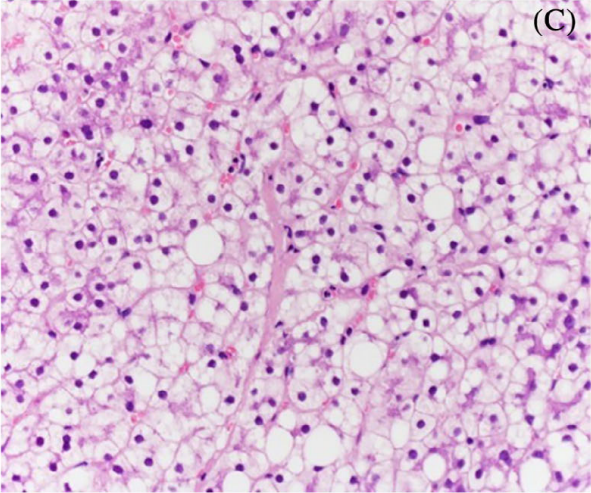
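This is liver parenchyma in which the hepatocytes show marked steatosis and cytoplasmic change. Scattered cells carry large round clear fat vacuoles. Most hepatocytes lack such large droplets but are enlarged and polygonal, with sharp pink cell borders and pale, finely vacuolated cytoplasm. Their round, dark purple nuclei are mostly central, and narrow sinusoids with a few red blood cells run between the cell plates.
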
